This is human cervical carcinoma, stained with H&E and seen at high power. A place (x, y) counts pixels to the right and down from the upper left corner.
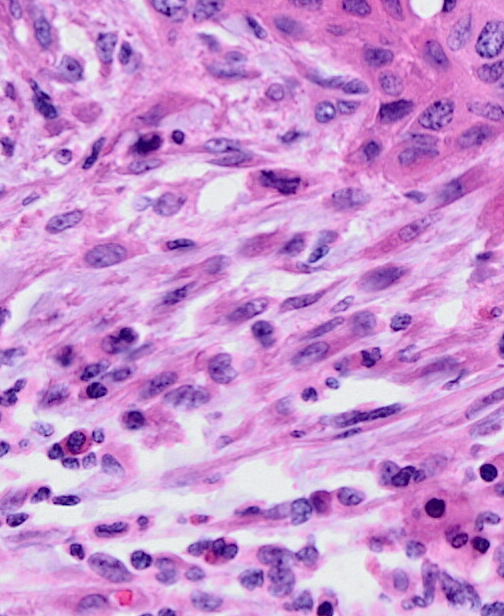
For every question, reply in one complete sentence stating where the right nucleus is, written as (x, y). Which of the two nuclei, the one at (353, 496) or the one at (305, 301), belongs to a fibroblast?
Between the two nuclei, the one sitting at (305, 301) belongs to a fibroblast.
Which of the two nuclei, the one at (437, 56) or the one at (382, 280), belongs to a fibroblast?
Of the two nuclei, the nucleus of a fibroblast is at (382, 280).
